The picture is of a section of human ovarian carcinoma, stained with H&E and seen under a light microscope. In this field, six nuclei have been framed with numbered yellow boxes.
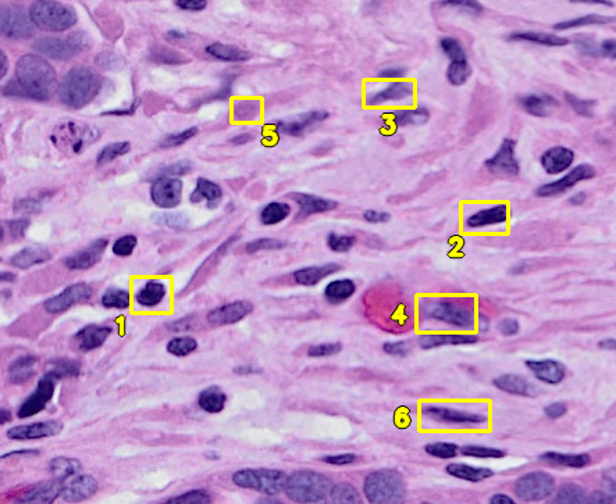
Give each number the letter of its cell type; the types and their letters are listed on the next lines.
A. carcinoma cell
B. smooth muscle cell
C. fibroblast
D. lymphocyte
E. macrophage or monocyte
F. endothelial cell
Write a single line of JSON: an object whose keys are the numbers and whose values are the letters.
{"1": "D", "2": "D", "3": "C", "4": "F", "5": "C", "6": "C"}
